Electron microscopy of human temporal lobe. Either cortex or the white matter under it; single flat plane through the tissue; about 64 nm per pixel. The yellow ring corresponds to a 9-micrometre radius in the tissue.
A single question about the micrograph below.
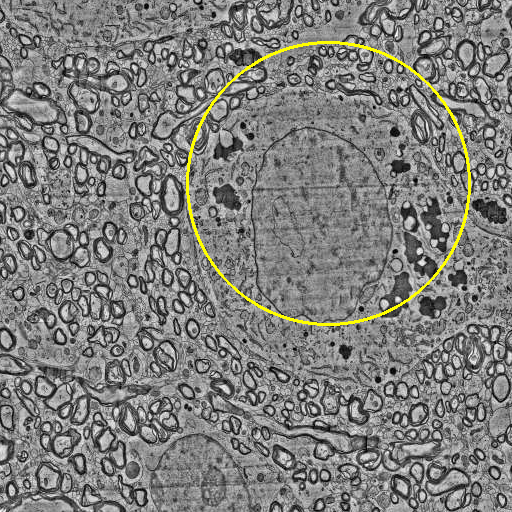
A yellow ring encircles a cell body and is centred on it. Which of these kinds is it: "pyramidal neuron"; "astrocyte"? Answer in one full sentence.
The cell body at the centre of the yellow ring belongs to a pyramidal neuron.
